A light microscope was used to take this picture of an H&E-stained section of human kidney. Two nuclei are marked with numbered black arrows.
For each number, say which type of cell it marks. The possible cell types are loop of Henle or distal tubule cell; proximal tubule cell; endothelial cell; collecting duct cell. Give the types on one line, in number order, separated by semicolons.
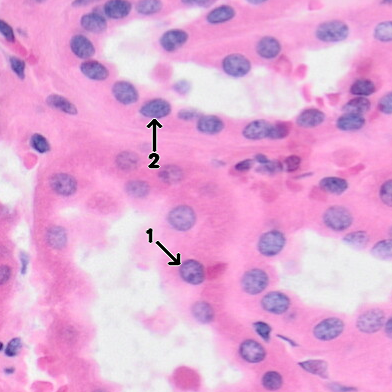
proximal tubule cell; loop of Henle or distal tubule cell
